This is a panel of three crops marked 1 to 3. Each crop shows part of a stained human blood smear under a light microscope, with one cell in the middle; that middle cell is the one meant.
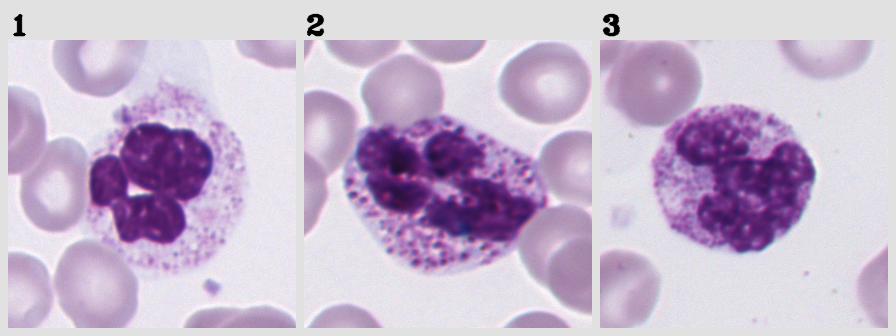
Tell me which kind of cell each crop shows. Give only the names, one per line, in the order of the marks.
segmented neutrophil
basophil
segmented neutrophil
